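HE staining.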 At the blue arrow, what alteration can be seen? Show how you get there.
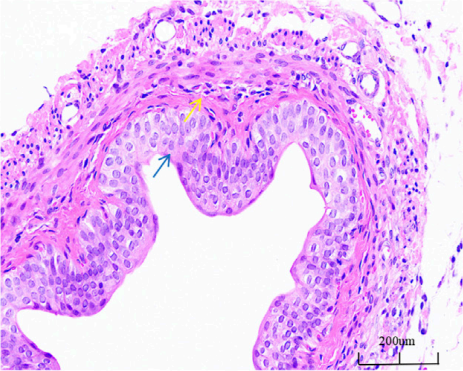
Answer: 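The arrow points into the multilayered lining epithelium. The lining cells have pale, clear-looking cytoplasm. So: edematous epithelial cells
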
